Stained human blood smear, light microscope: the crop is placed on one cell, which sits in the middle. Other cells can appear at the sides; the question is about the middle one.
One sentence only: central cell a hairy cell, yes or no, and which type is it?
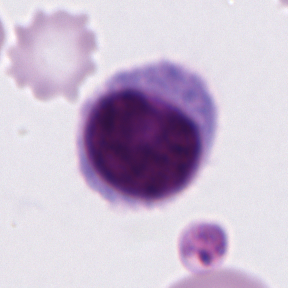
Yes, the cell occupying the center is a hairy cell.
